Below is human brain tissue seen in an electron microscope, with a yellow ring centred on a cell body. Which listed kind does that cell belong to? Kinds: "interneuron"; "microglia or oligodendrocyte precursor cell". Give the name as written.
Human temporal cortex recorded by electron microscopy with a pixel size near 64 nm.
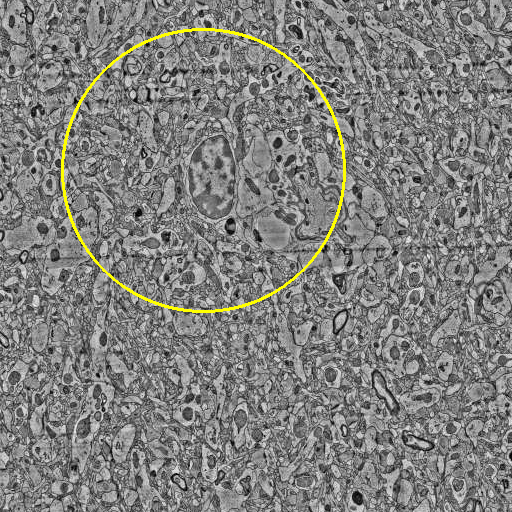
microglia or oligodendrocyte precursor cell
